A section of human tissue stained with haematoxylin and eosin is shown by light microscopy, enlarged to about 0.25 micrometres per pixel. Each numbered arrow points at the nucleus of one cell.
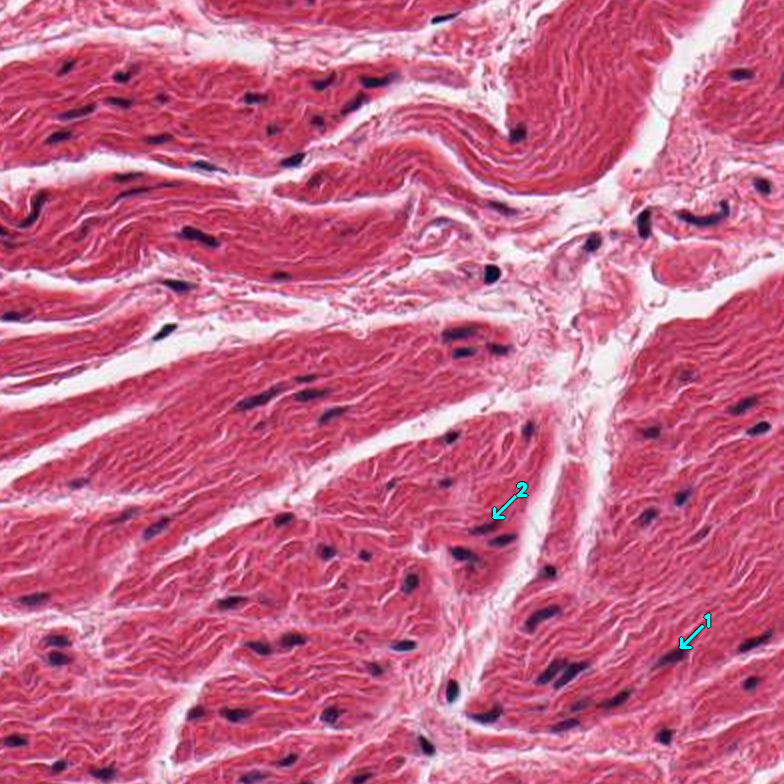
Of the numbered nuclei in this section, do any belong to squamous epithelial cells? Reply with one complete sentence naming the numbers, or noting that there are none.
Among the cells whose nuclei are numbered, none are squamous epithelial cells.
